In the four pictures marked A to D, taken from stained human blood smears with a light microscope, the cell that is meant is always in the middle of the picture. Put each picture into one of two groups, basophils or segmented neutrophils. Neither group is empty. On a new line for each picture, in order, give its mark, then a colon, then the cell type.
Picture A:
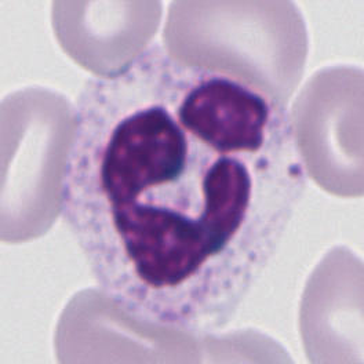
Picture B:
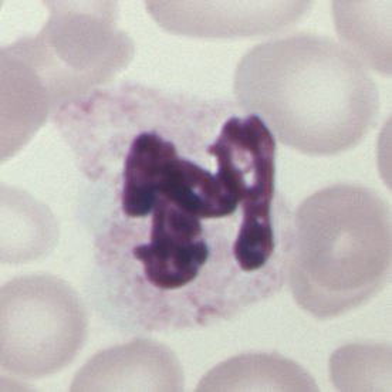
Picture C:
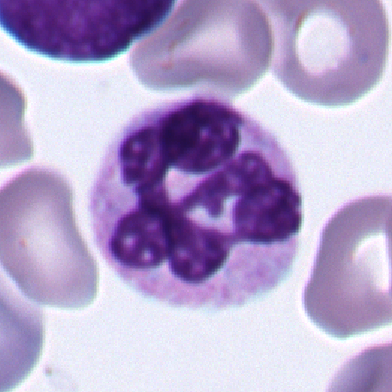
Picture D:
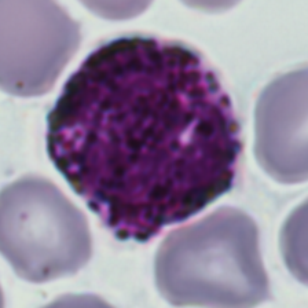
A: segmented neutrophil
B: segmented neutrophil
C: segmented neutrophil
D: basophil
